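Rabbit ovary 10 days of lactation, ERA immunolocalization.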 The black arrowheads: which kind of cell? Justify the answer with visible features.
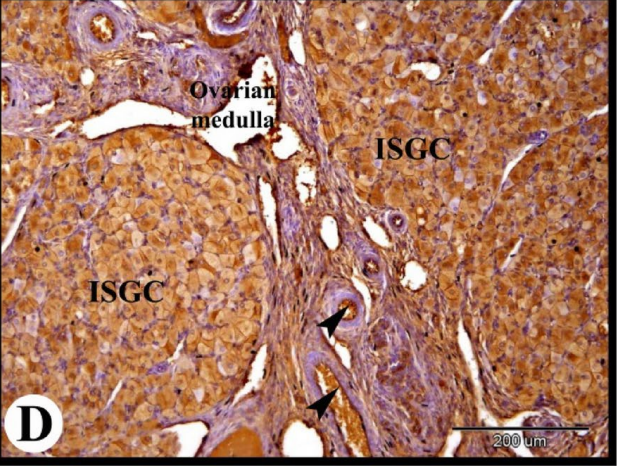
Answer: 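Endothelial cells. The arrowheads point at the lining of round and elongated lumens in the connective tissue band. The lumens hold brown-staining contents and are lined by a thin layer of flattened cells.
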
